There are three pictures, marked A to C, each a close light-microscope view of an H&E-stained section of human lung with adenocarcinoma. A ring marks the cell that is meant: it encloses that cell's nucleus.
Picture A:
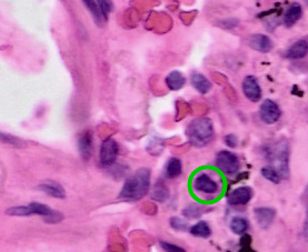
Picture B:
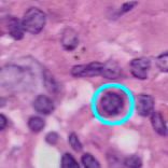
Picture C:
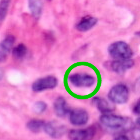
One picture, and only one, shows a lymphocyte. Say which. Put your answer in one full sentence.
The picture with the lymphocyte is C.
